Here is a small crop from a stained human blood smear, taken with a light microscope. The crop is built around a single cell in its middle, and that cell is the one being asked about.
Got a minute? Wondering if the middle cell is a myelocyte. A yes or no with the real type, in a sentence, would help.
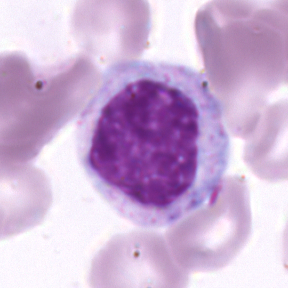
Yes, the cell sitting in the center is a myelocyte.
